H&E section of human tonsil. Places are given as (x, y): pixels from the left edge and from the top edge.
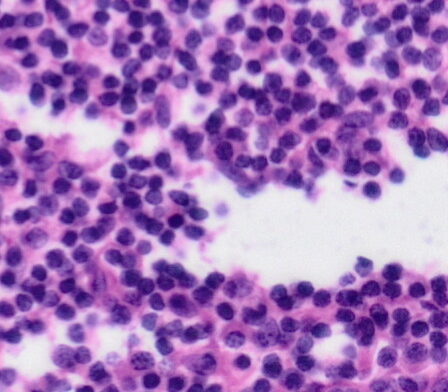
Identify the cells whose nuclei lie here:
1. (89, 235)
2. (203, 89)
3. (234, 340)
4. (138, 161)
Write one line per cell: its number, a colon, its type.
1: small lymphocyte
2: small lymphocyte
3: plasma cell
4: small lymphocyte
